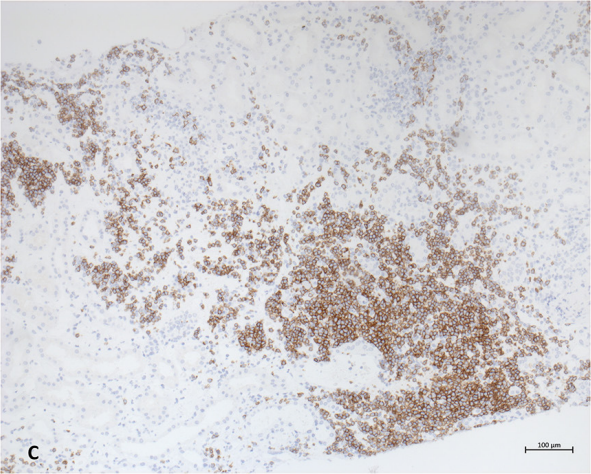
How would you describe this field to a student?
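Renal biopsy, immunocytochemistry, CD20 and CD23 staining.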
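In this kidney tissue, many small round lymphoid cells show brown staining at their cell membranes, while tubules and other cells remain pale with blue nuclei. The stained cells form a large dense cluster in the lower centre and scattered groups between the tubules.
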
